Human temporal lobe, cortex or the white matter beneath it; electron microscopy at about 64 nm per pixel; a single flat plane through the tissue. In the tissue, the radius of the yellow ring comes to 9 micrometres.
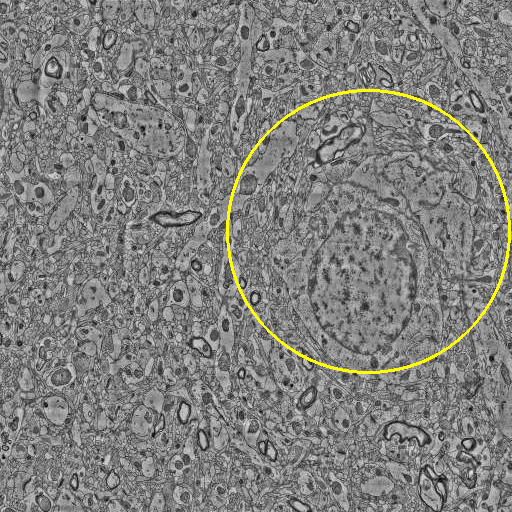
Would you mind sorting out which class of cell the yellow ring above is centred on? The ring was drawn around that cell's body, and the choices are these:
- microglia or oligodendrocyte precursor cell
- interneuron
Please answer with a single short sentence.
This is the cell body of an interneuron.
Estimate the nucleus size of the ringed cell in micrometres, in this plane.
In this plane, about 9 micrometres in length and 7 in width.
